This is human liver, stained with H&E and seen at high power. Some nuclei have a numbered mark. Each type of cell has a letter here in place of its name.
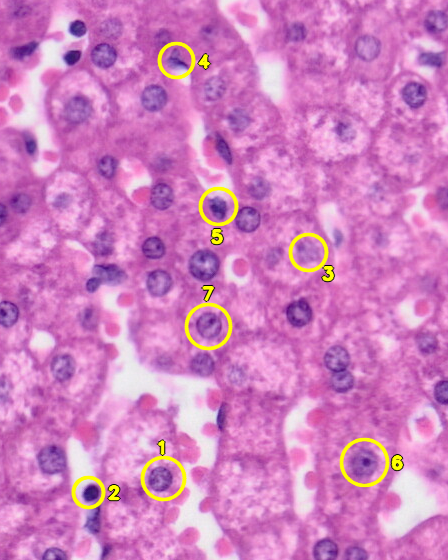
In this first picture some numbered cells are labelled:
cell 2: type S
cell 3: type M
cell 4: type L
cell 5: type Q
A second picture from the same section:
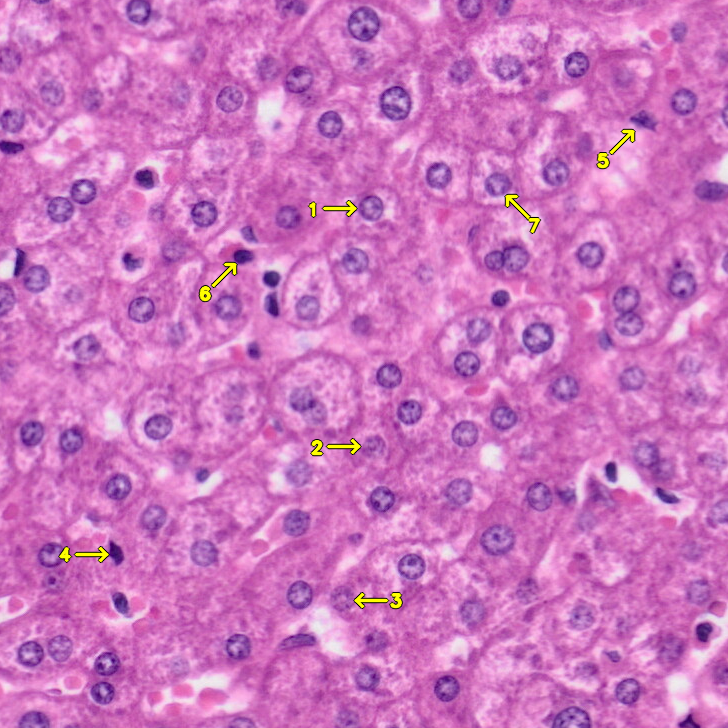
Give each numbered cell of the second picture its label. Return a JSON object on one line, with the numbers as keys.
{"1": "type M", "2": "type M", "3": "type M", "4": "type Q", "5": "type L", "6": "type S", "7": "type M"}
